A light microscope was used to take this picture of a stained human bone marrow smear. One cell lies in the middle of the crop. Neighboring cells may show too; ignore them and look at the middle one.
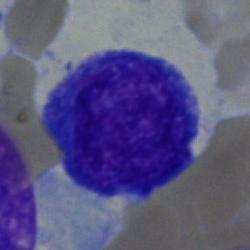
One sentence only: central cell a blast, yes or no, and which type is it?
Yes, the cell located at the center is a blast.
